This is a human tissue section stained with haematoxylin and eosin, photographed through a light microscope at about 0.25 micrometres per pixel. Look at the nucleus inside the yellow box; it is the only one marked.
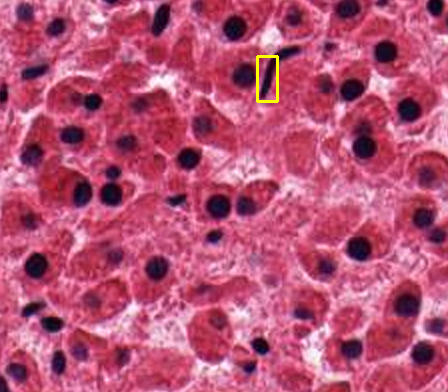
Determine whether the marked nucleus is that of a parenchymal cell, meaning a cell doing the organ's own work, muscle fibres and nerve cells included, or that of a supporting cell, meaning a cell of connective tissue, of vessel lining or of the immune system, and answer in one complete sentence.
The cell that the marked nucleus belongs to is a supporting cell.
